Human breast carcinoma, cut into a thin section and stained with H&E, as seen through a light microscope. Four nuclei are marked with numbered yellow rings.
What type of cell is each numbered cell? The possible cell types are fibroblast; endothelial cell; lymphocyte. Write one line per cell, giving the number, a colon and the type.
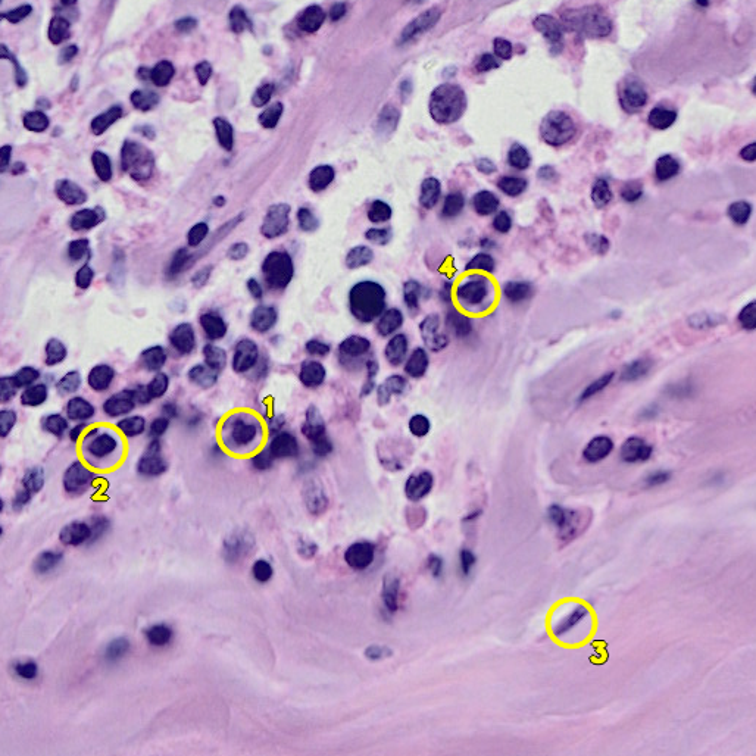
1: lymphocyte
2: lymphocyte
3: fibroblast
4: lymphocyte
